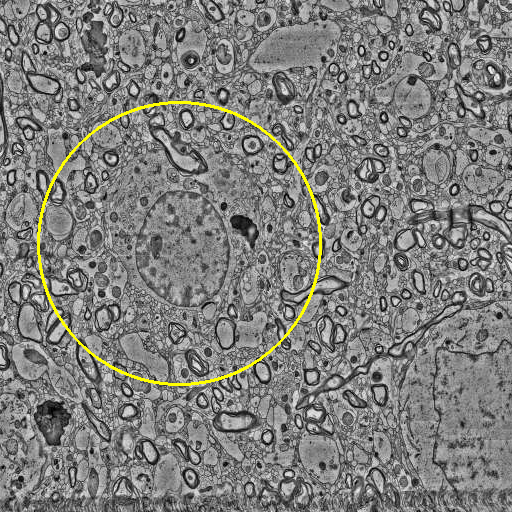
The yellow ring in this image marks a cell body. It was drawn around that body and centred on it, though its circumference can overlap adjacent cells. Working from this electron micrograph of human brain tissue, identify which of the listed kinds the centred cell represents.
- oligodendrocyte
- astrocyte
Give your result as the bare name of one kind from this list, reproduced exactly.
oligodendrocyte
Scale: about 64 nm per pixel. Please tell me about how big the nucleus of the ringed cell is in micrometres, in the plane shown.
The nucleus measures about 8 by 6 micrometres in this plane.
